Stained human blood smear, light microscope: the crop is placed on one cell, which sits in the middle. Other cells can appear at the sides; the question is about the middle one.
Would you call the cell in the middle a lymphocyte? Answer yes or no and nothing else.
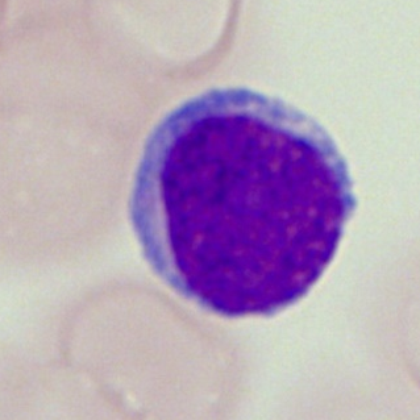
yes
